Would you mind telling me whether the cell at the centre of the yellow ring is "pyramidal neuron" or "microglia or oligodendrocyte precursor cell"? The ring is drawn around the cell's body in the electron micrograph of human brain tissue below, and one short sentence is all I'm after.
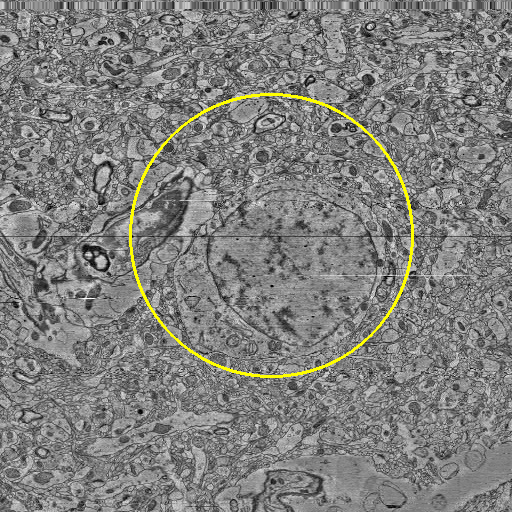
In the centre of the ring lies a pyramidal neuron.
